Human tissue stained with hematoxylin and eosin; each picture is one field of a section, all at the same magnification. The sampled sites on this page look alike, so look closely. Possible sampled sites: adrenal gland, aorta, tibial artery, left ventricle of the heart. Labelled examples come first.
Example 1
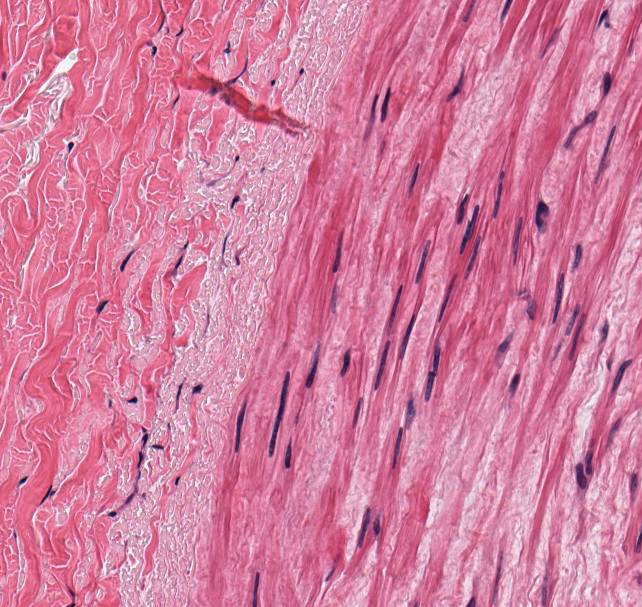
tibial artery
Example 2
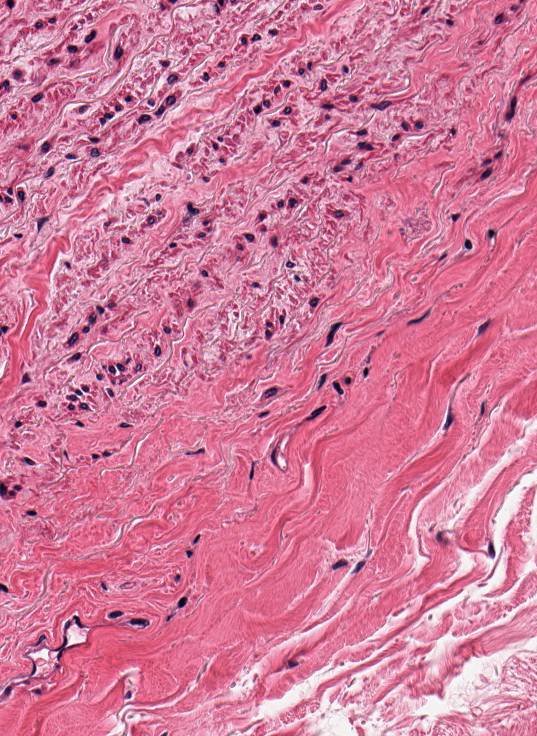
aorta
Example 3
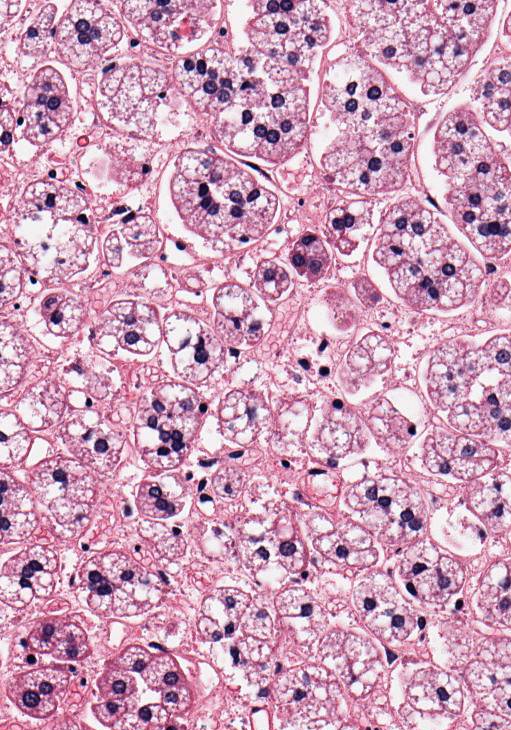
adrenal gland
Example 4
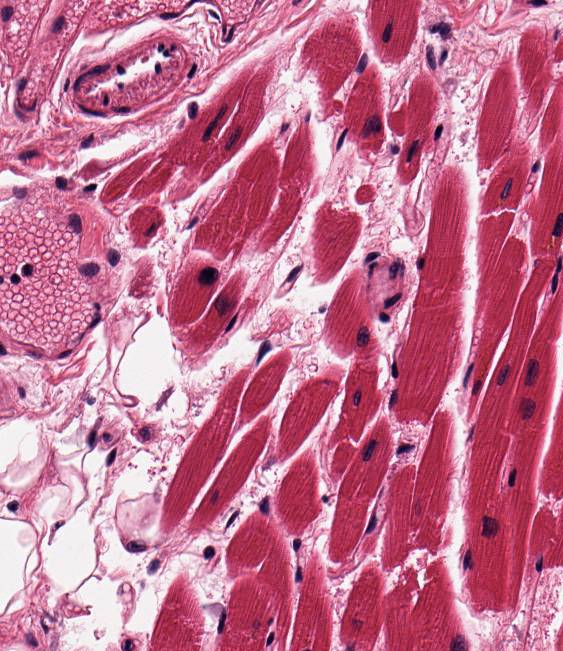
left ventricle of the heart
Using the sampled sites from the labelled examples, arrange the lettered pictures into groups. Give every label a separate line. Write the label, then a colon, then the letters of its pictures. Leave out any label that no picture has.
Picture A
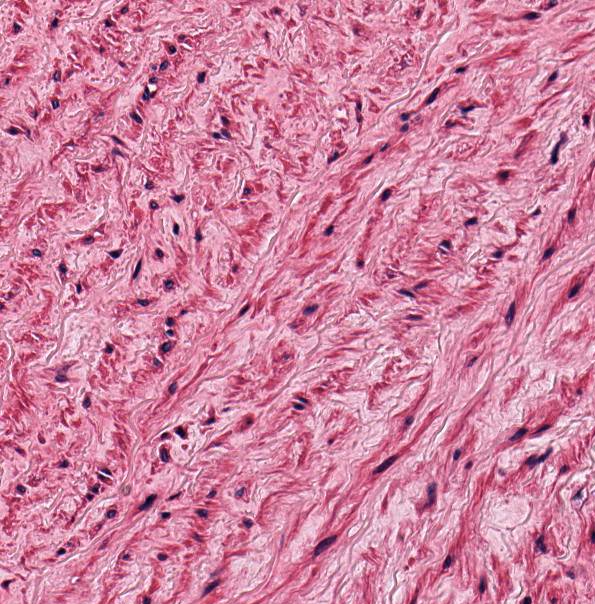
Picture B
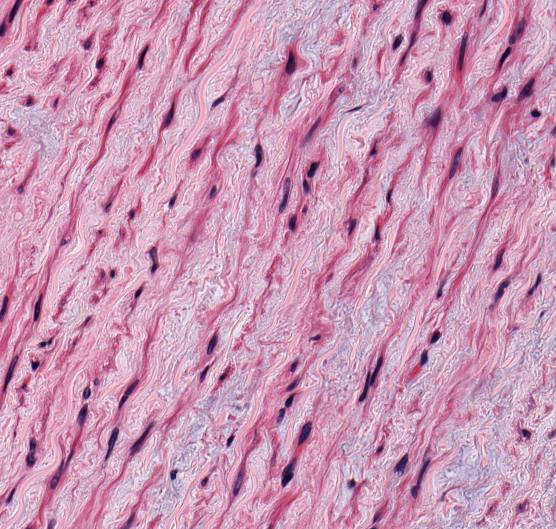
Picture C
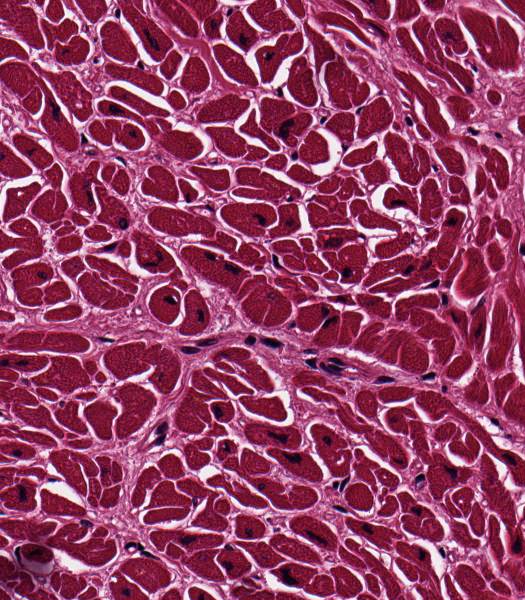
aorta: A, B
left ventricle of the heart: C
